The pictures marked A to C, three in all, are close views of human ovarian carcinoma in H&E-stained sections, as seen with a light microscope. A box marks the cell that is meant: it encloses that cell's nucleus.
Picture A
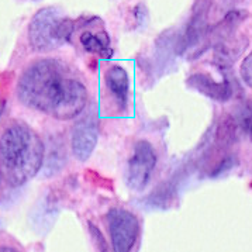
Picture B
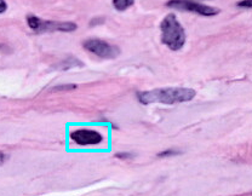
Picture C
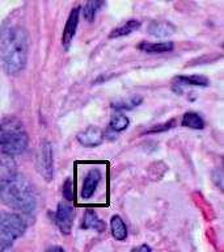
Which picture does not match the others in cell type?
A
